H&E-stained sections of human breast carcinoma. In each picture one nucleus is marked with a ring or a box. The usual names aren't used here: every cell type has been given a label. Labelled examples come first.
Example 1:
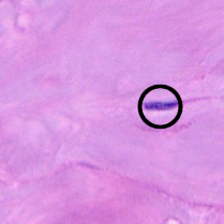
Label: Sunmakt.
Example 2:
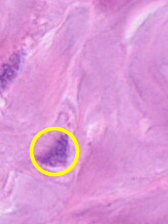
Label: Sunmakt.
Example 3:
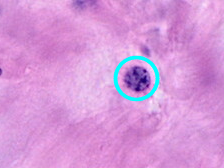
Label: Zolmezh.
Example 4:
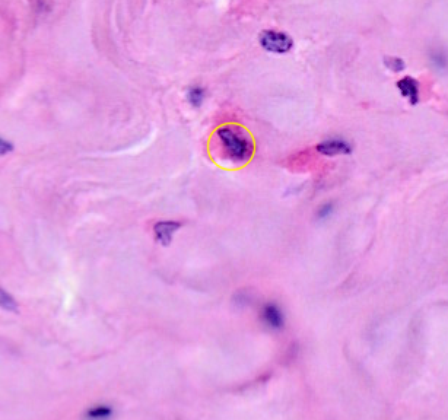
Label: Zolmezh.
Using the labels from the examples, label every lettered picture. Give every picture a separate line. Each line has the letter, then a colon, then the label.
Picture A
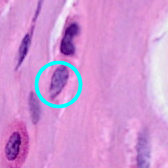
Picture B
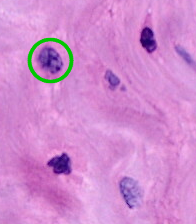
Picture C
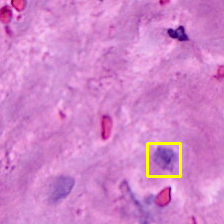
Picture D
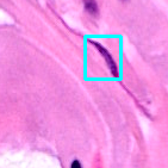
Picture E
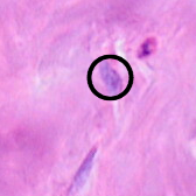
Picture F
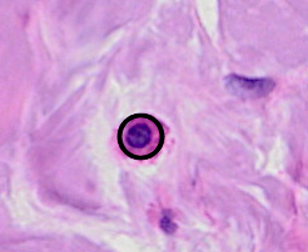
A: Zolmezh.
B: Zolmezh.
C: Sunmakt.
D: Sunmakt.
E: Sunmakt.
F: Zolmezh.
